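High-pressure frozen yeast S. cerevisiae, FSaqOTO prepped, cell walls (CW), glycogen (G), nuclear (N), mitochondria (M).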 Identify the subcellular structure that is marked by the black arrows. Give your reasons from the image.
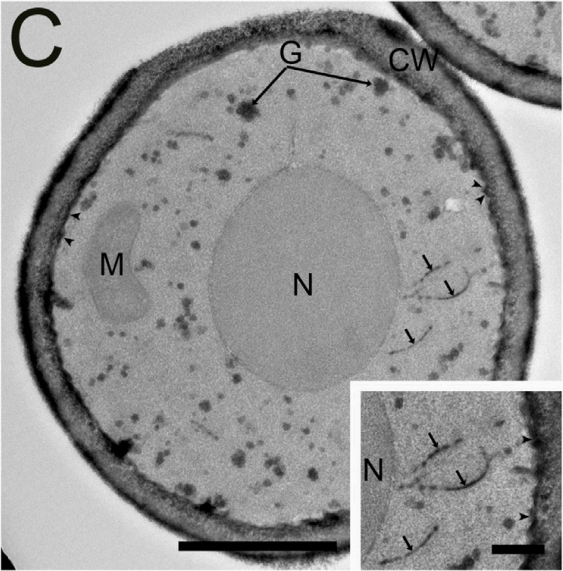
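Arrows point to thin dark curved membrane profiles in the cytoplasm. The profiles are elongated and flattened, some curving, near the nucleus. On this evidence: cisternae.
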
